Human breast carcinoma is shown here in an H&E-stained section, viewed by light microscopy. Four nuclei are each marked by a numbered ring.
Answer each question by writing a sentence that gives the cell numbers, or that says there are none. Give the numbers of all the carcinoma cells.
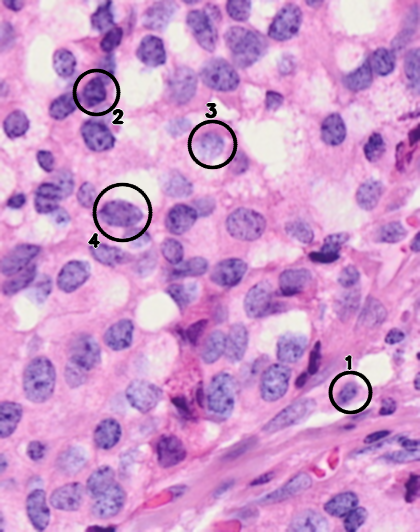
The cells that have been numbered 2, 3 and 4 are carcinoma cells.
